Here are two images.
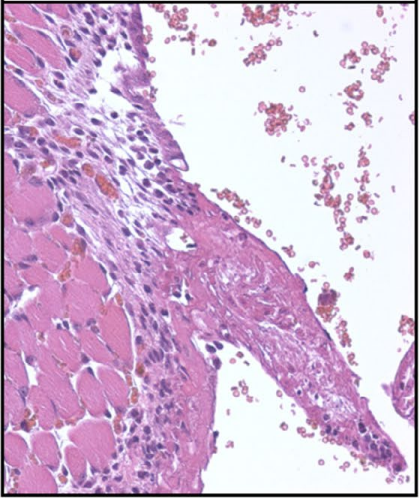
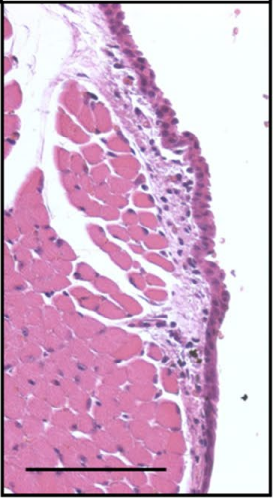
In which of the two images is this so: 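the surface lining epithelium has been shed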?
the first image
